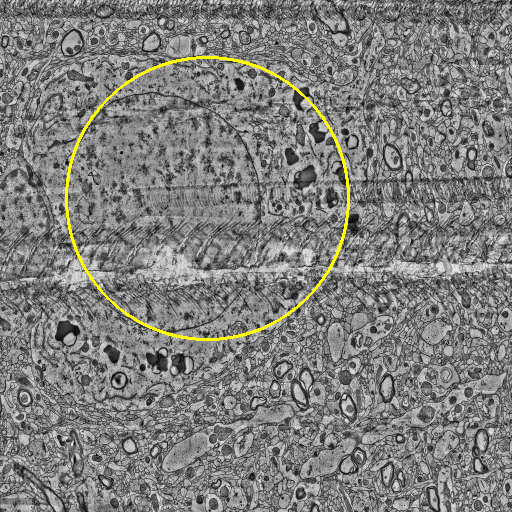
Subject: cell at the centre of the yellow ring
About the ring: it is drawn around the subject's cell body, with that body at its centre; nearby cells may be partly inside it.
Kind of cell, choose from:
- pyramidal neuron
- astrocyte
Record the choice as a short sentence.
The subject cell is a pyramidal neuron.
